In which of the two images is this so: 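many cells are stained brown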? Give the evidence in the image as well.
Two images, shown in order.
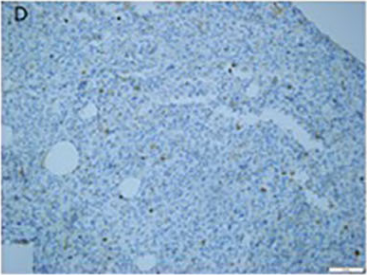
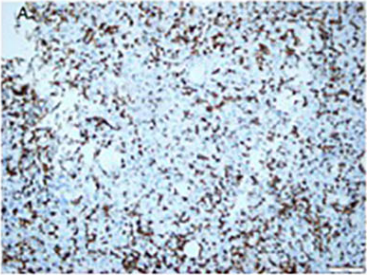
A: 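The second image. First image: the cells are almost all blue with only a few faint brown specks. Second image: a large share of the cells carry dense brown stain scattered across the tissue.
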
